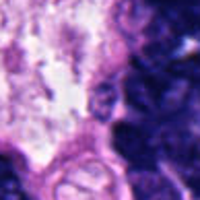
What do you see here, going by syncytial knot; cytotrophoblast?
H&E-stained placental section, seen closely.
I see a syncytial knot.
